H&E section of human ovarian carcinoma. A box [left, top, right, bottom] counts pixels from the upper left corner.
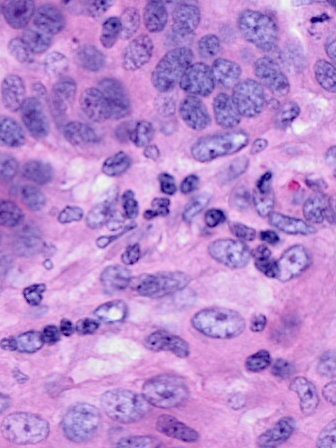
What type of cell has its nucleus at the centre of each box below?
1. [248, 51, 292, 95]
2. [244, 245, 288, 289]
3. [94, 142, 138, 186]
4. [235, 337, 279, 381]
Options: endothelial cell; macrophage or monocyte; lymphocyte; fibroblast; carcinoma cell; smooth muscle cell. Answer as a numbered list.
1. carcinoma cell
2. lymphocyte
3. macrophage or monocyte
4. lymphocyte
